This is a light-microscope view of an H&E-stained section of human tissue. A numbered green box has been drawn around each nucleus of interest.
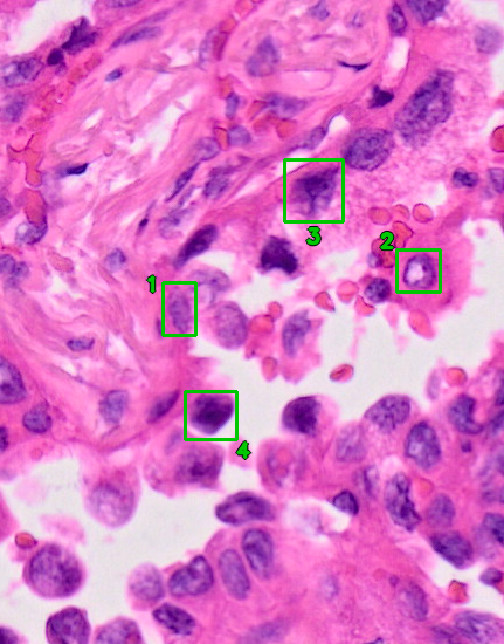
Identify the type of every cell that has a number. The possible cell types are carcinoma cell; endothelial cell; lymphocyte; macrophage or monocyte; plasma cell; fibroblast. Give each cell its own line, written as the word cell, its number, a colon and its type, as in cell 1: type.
cell 1: carcinoma cell
cell 2: macrophage or monocyte
cell 3: carcinoma cell
cell 4: carcinoma cell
